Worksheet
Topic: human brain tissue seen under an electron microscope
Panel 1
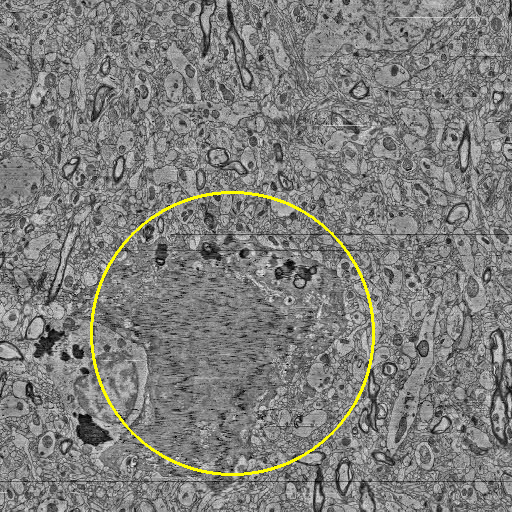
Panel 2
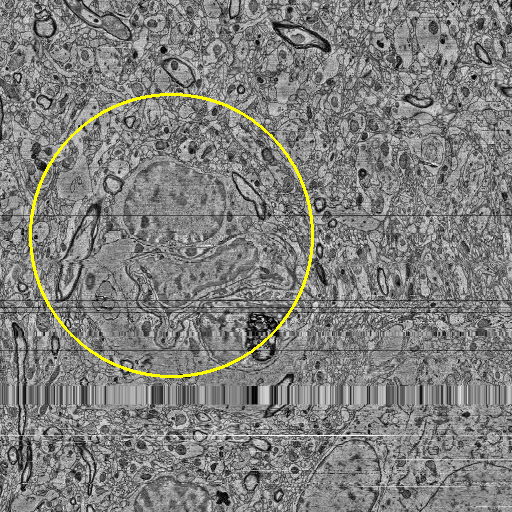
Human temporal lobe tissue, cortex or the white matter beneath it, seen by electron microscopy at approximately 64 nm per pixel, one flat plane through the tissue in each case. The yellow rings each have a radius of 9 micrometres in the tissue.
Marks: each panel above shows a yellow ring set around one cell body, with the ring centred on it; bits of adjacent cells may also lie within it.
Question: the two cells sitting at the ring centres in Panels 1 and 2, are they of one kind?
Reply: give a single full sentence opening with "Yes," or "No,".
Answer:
No, the two ring-centre cells in Panel 1 and Panel 2 are of two kinds.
